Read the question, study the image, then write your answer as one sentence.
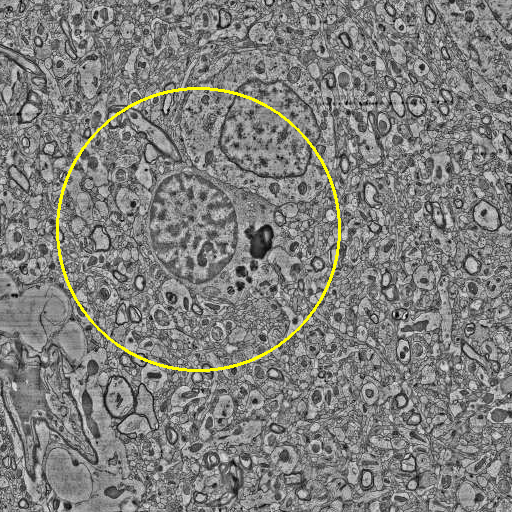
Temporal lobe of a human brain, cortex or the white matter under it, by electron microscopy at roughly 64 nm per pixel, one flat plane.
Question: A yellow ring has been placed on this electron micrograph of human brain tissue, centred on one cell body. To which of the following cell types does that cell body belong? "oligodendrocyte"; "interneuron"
That cell body belongs to an oligodendrocyte.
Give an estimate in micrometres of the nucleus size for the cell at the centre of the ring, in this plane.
The nucleus works out at approximately 7 by 5 micrometres in this plane.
